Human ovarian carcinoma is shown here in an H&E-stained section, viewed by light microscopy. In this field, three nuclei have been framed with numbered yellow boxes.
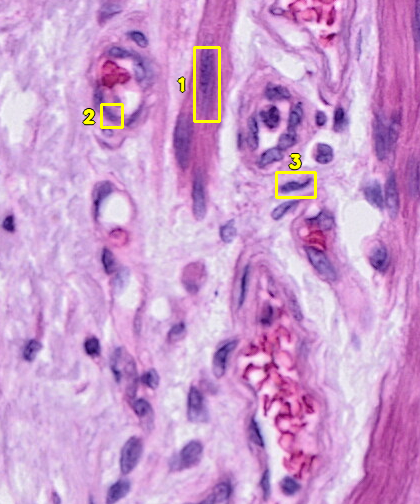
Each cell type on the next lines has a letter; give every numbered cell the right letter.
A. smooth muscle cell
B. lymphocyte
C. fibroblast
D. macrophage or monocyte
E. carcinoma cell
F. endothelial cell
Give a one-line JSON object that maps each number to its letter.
{"1": "A", "2": "F", "3": "C"}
